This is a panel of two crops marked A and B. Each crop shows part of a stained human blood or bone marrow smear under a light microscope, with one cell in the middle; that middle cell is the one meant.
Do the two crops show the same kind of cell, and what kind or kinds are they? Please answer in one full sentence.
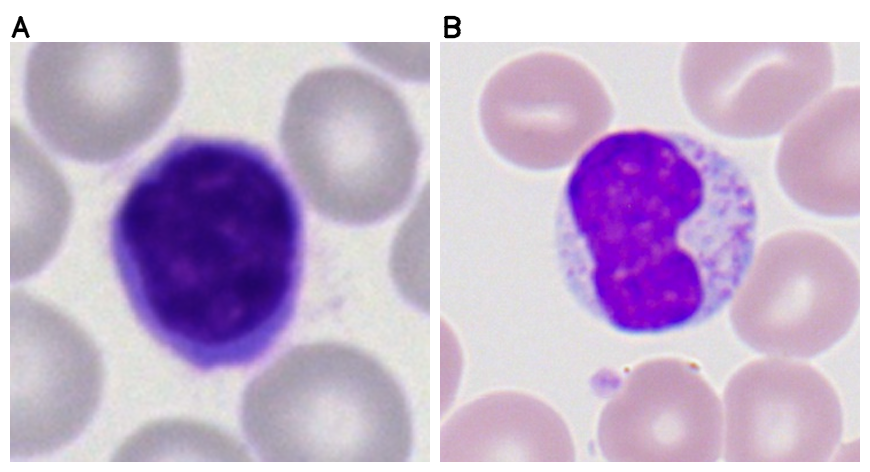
Yes, the cells placed at the centre of both crops are lymphocytes.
